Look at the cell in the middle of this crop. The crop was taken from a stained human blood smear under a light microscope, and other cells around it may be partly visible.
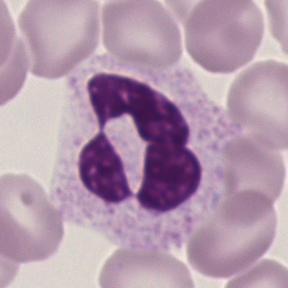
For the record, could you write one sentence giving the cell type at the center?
The cell featured at the centre of this crop is a neutrophil.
